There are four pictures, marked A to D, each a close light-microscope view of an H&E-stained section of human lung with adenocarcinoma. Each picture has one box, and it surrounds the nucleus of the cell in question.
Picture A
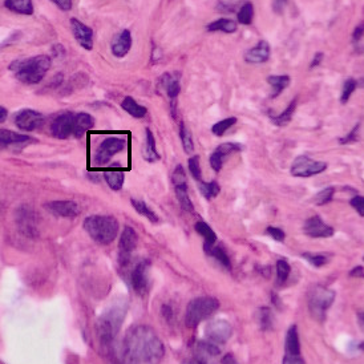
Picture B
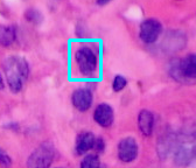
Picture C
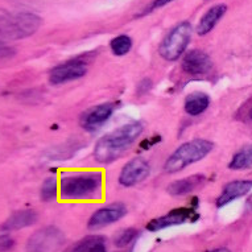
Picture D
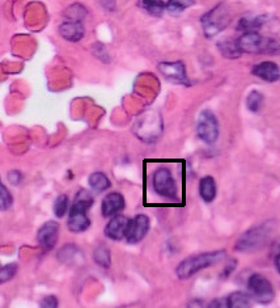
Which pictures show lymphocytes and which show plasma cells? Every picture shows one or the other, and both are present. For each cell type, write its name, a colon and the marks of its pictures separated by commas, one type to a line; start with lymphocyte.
lymphocyte: B
plasma cell: A, C, D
